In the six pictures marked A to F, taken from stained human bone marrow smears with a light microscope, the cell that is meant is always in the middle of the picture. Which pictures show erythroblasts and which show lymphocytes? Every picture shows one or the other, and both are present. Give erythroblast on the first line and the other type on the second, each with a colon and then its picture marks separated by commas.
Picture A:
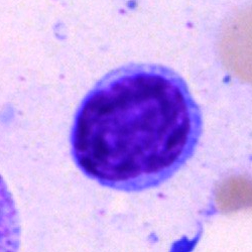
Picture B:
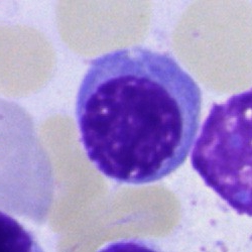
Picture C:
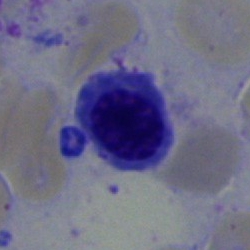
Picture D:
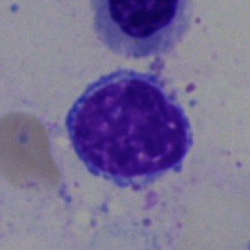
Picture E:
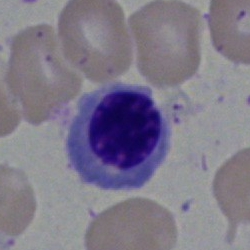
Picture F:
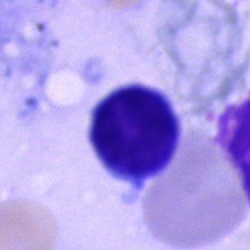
erythroblast: B, C, E
lymphocyte: A, D, F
